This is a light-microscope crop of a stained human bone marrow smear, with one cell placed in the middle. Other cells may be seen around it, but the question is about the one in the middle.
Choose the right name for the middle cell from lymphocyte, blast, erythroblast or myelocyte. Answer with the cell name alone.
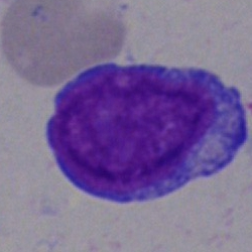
blast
